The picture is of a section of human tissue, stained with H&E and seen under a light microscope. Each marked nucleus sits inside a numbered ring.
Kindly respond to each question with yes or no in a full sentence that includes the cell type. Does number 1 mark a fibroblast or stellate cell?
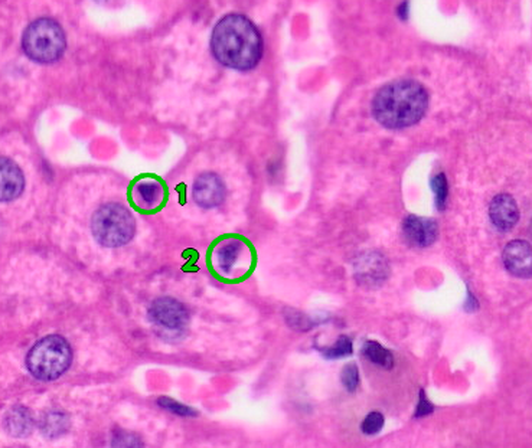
Yes, the cell with its nucleus marked 1 is a fibroblast or stellate cell.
